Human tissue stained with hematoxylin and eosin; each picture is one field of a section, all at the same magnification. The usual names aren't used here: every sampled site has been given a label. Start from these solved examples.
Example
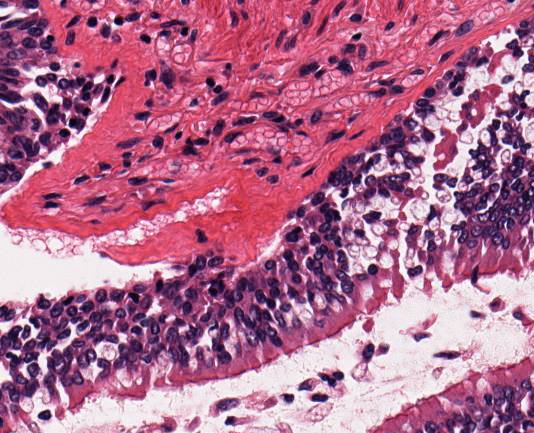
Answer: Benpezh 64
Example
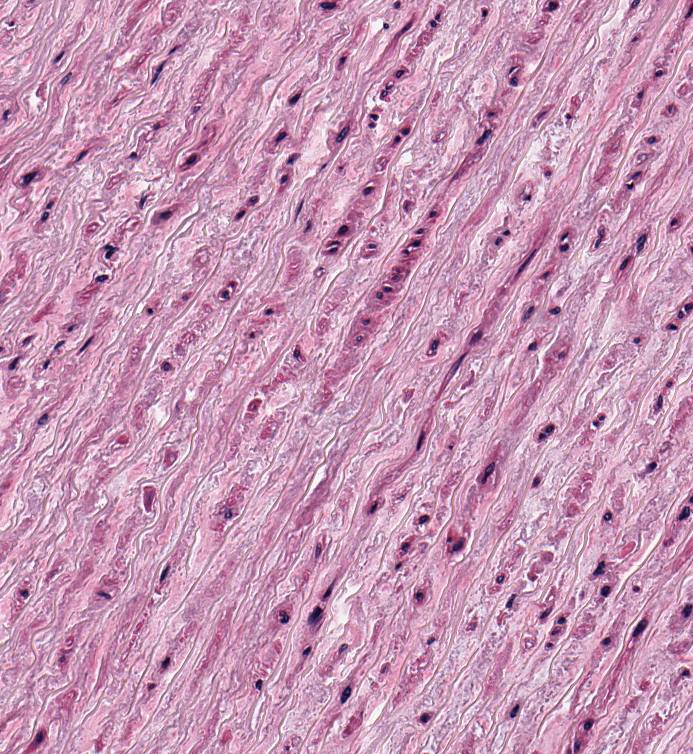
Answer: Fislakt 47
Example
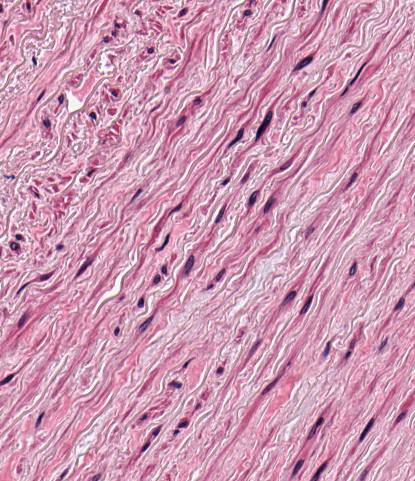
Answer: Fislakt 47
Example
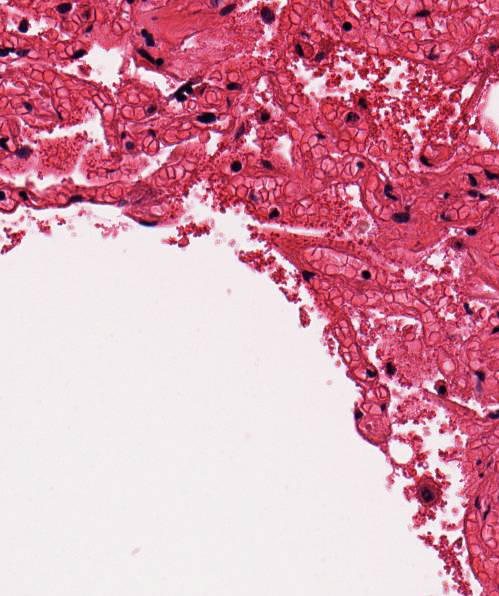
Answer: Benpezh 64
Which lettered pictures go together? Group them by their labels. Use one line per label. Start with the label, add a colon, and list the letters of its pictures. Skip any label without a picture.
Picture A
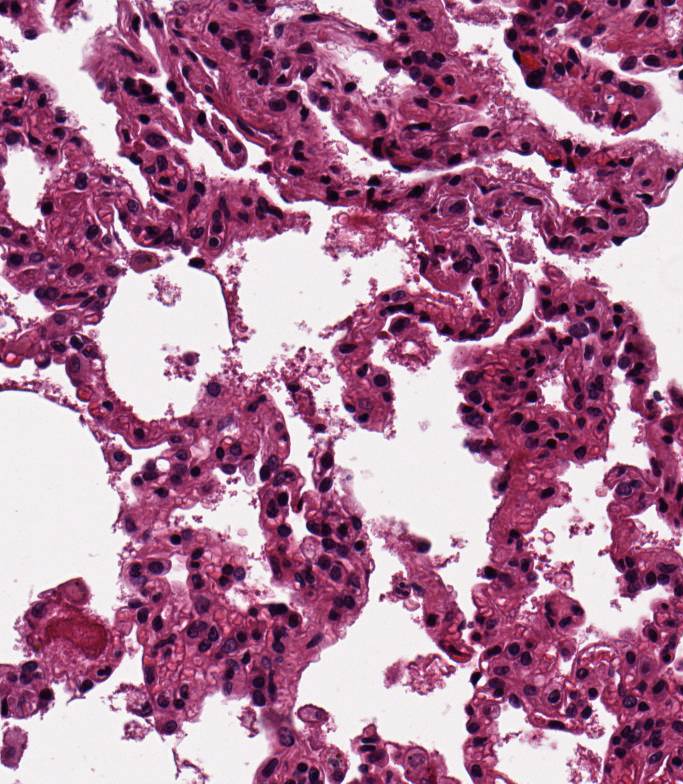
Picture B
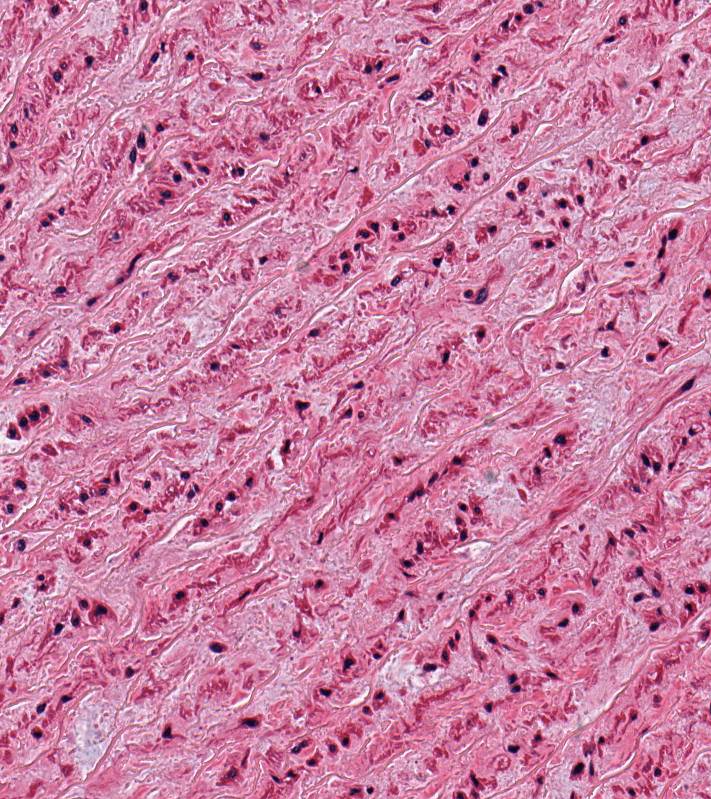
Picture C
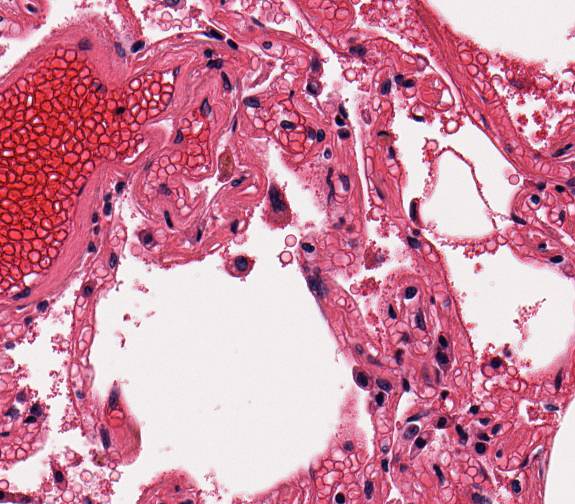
Benpezh 64: A, C
Fislakt 47: B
